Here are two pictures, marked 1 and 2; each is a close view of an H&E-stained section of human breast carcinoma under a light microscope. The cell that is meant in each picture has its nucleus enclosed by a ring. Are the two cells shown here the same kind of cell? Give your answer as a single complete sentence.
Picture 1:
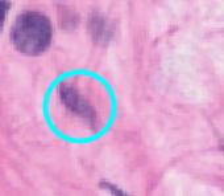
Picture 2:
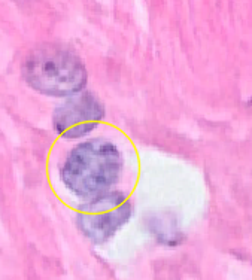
No; the cell in picture 1 is a fibroblast, while the one in picture 2 is a carcinoma cell.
